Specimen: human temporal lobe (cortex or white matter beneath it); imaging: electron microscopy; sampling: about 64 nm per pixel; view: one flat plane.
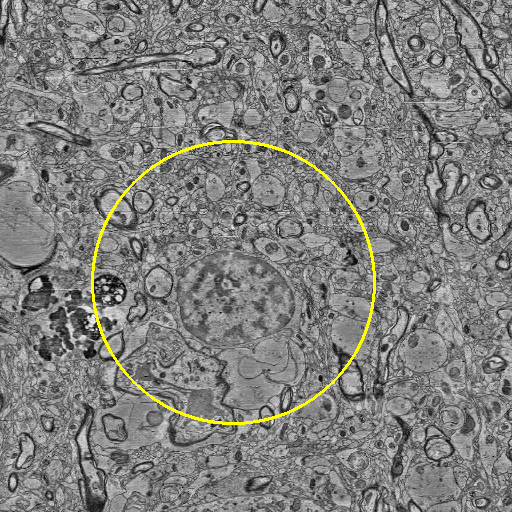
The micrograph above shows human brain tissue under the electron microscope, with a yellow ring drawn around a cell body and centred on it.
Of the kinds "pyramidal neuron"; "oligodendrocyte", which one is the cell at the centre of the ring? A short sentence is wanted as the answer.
The one at the centre of the ring is an oligodendrocyte.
